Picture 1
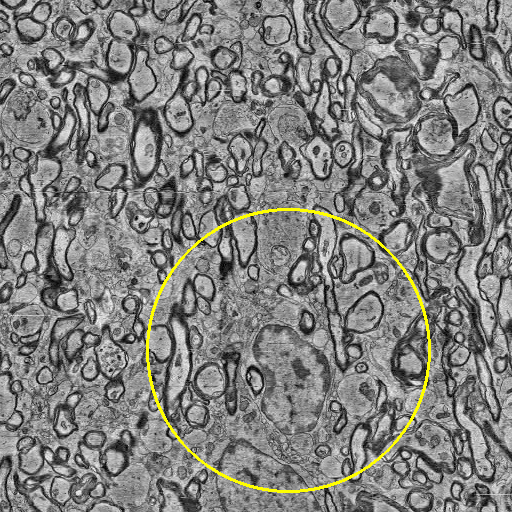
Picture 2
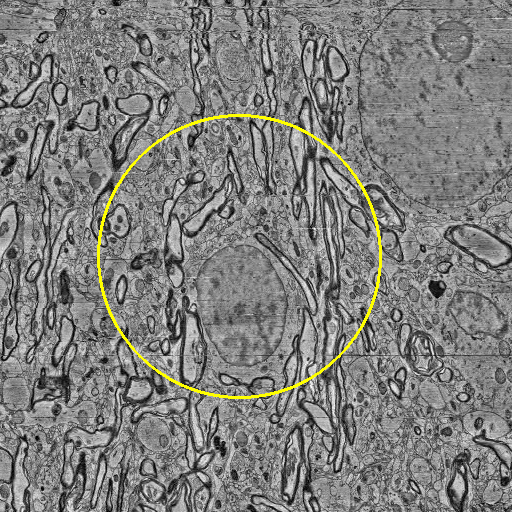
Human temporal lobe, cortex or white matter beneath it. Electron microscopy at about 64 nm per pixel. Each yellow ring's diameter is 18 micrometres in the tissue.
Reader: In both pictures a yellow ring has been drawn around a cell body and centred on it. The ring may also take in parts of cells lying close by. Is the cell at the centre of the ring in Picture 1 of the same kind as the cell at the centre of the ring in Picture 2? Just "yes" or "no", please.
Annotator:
no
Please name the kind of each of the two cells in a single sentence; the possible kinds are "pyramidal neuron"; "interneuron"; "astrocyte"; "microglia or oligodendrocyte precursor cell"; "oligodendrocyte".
In the first picture the ring is centred on a microglial cell or oligodendrocyte precursor cell, and in the second on an oligodendrocyte.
